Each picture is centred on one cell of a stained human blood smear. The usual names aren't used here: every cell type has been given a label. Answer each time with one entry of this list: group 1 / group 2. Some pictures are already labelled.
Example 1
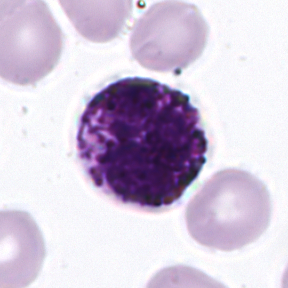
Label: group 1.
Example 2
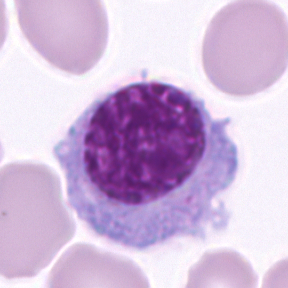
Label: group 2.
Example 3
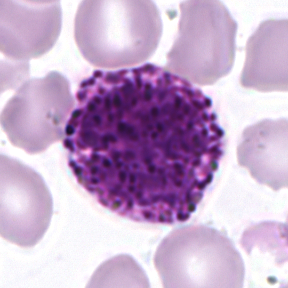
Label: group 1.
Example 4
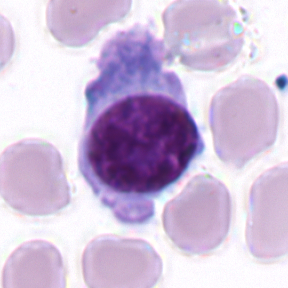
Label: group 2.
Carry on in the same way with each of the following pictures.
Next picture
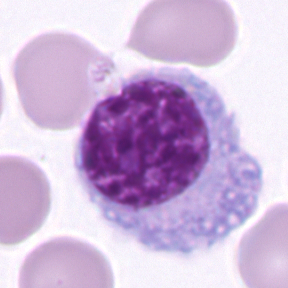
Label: group 2.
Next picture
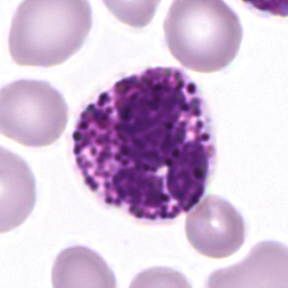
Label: group 1.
